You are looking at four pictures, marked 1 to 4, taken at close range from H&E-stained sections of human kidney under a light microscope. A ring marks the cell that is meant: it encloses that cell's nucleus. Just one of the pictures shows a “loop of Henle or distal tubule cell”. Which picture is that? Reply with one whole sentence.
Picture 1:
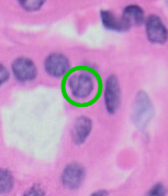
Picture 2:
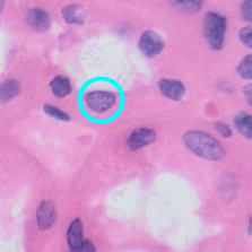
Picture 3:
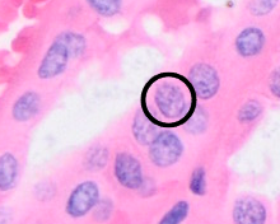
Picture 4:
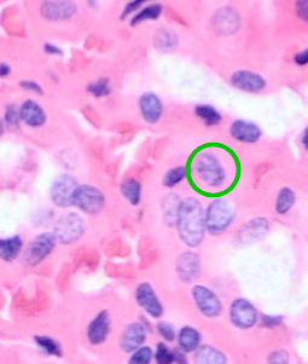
It is picture 2 that shows the “loop of Henle or distal tubule cell”.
